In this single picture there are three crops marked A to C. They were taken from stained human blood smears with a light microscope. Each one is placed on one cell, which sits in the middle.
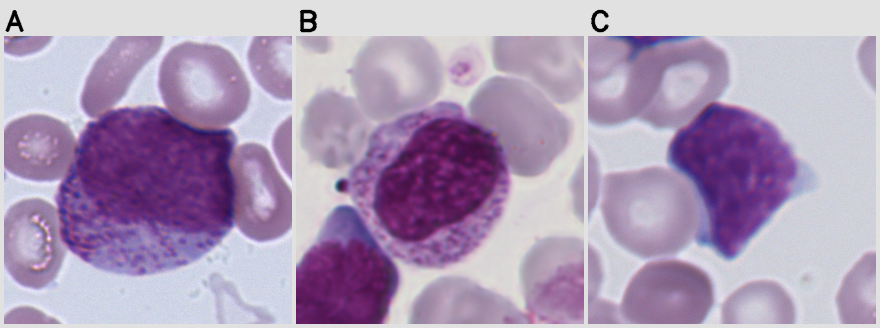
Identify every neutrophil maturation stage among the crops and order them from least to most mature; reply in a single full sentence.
From least to most mature, the cells come in the order crop C (a myeloblast), crop A (a promyelocyte) and crop B (a metamyelocyte).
